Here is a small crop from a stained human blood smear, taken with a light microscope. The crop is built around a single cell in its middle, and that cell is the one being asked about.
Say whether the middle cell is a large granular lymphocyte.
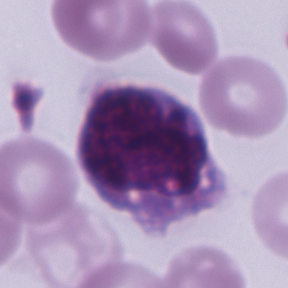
no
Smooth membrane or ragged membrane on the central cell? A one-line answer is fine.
The perimeter of the cell is irregular, with ragged sections or outward projections.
